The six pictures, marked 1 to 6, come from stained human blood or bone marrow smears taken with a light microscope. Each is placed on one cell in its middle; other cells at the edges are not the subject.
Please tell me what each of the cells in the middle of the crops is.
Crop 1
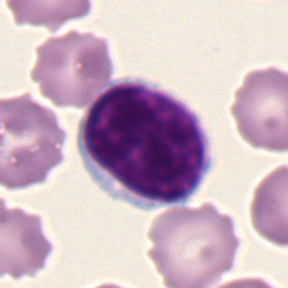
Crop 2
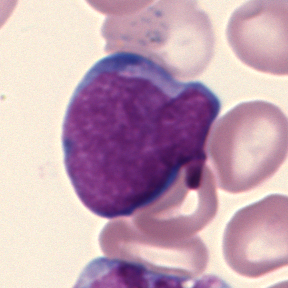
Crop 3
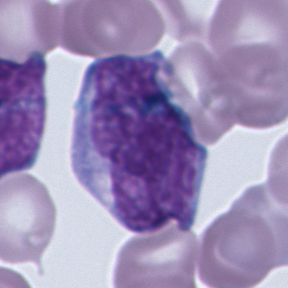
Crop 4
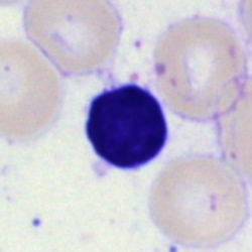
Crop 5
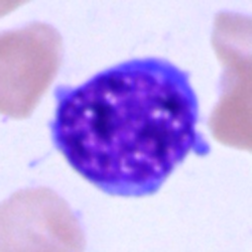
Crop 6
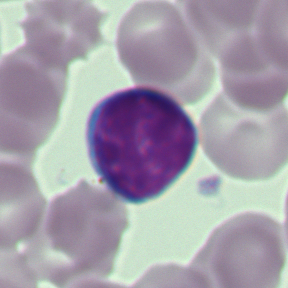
1: lymphocyte
2: blast
3: blast
4: lymphocyte
5: blast
6: lymphocyte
